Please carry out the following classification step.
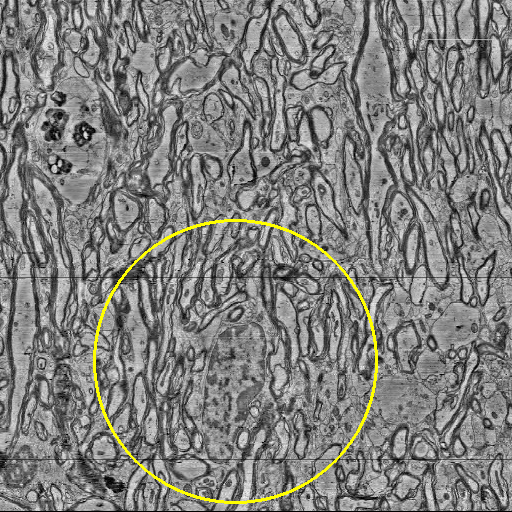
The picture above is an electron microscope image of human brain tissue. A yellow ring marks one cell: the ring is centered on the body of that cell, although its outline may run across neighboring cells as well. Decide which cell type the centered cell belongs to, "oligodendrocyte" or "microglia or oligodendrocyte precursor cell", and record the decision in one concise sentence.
The cell centered in the yellow ring is a microglial cell or oligodendrocyte precursor cell.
